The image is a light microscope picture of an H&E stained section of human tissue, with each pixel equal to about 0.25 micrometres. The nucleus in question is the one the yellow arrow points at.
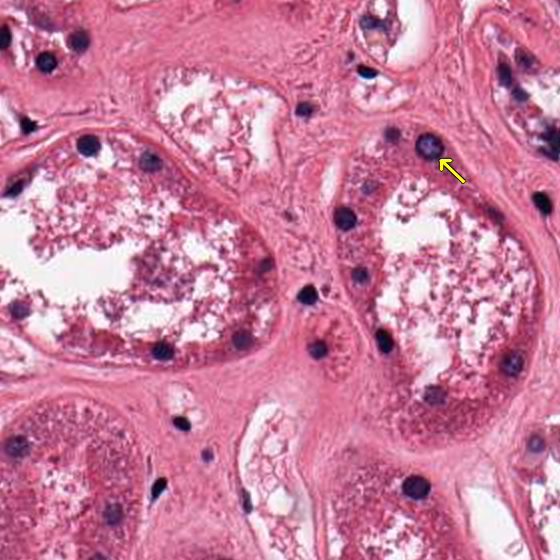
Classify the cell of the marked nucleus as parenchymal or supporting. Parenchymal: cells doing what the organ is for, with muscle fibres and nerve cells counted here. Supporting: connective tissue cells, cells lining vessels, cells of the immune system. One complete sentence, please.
The marked nucleus belongs to a parenchymal cell, and this cell is a proximal tubule cell.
